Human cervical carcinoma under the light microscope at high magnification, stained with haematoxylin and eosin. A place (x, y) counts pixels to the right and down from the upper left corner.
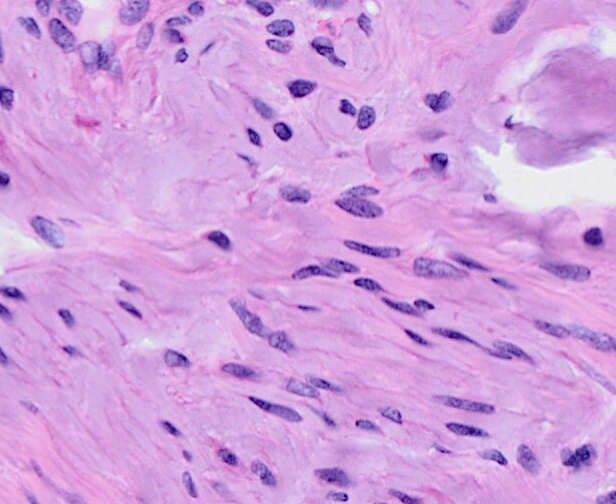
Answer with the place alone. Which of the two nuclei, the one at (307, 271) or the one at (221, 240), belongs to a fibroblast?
(307, 271)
